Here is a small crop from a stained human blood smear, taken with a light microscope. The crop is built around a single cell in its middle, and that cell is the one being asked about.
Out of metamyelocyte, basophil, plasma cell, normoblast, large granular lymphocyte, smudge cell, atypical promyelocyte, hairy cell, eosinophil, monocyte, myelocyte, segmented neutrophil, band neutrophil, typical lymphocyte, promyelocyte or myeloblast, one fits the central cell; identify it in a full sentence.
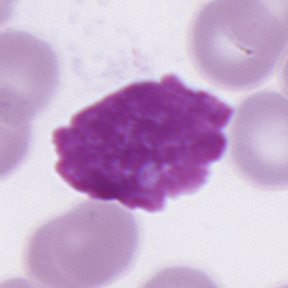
In the centre of this crop there is a smudge cell.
